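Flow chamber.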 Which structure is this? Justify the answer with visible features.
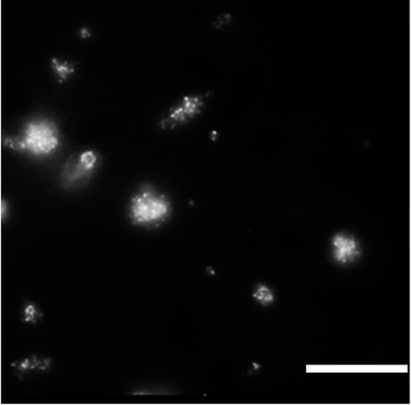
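Thrombi. Bright, irregular clusters of small fluorescent dots are scattered on a dark background. The clusters vary in size, from a few dots to large dense aggregates.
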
